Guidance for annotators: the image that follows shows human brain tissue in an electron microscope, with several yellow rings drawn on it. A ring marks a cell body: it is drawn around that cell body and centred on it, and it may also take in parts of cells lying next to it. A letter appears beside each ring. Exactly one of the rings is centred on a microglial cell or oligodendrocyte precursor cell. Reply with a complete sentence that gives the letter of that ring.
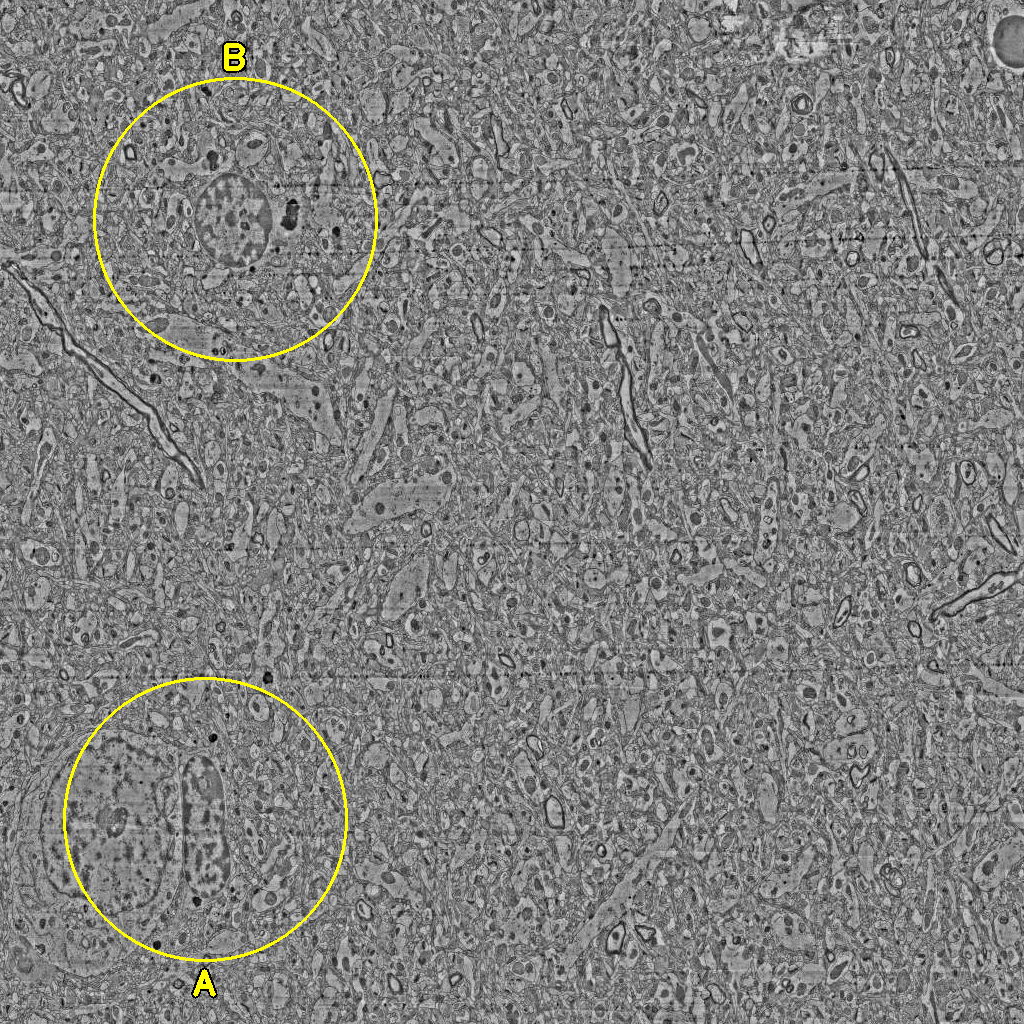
The ring lettered A is centred on that cell.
